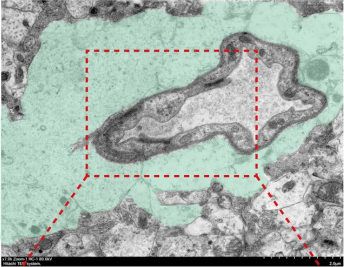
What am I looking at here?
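A brain capillary is seen in cross section, with a narrow, irregularly folded lumen lined by a thin endothelial wall. Around the vessel lies a wide, pale, electron-lucent zone shaded teal, the edematous astrocyte endfeet that enwrap the vessel, set within the darker, denser surrounding neuropil.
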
